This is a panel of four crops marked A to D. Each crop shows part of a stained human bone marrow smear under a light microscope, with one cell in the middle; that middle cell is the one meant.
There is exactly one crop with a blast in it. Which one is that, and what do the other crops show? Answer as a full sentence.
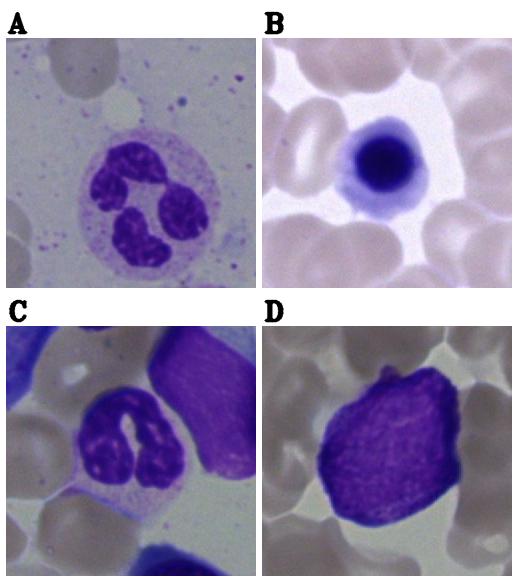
The crop labelled D shows a blast, whereas crop A is a segmented neutrophil, crop B is an erythroblast and crop C is a band neutrophil.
